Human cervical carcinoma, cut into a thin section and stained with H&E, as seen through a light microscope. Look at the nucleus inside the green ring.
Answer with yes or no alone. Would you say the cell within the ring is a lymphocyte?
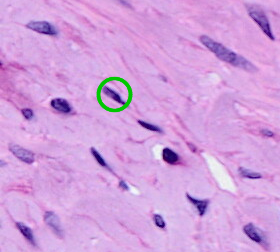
no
